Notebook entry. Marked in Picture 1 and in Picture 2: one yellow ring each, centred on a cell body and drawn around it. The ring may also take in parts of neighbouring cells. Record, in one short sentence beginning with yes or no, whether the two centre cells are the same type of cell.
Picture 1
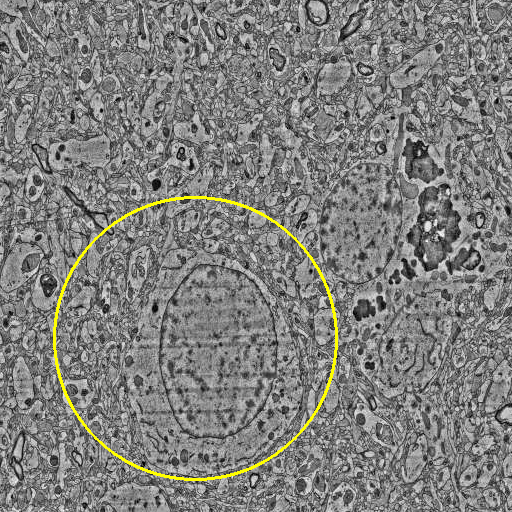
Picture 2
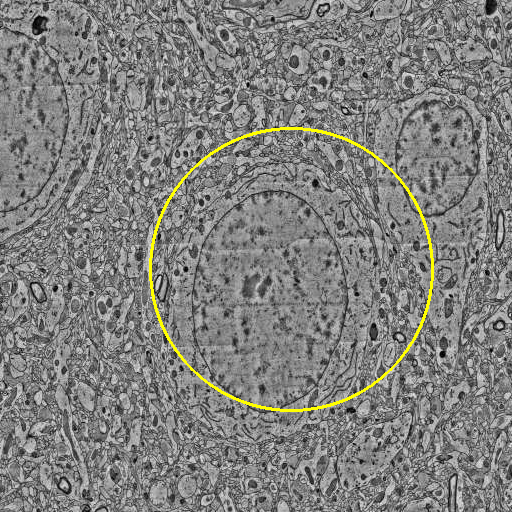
Yes, both are the same type of cell.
